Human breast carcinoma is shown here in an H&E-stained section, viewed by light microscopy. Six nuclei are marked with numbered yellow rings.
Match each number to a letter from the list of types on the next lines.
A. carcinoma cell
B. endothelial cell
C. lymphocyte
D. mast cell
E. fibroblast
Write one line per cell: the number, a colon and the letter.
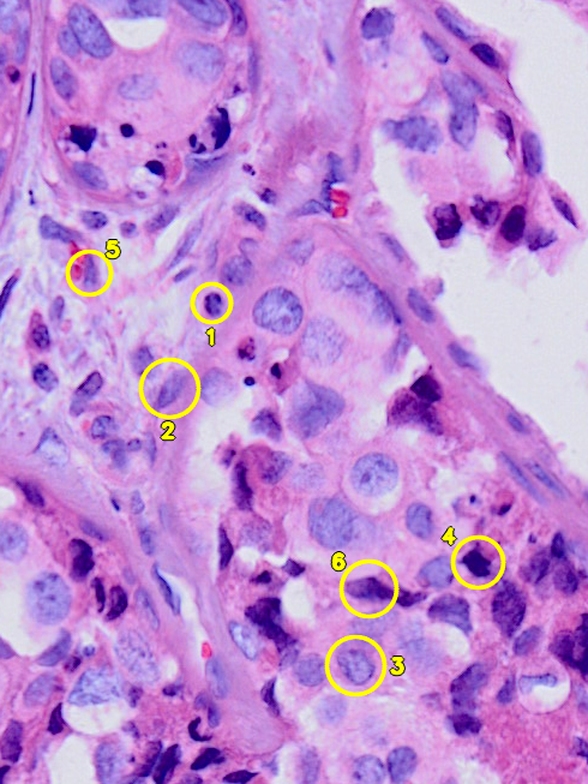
1: D
2: B
3: A
4: A
5: B
6: A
